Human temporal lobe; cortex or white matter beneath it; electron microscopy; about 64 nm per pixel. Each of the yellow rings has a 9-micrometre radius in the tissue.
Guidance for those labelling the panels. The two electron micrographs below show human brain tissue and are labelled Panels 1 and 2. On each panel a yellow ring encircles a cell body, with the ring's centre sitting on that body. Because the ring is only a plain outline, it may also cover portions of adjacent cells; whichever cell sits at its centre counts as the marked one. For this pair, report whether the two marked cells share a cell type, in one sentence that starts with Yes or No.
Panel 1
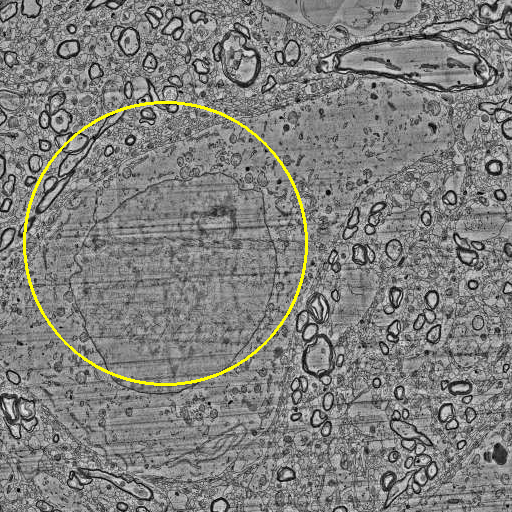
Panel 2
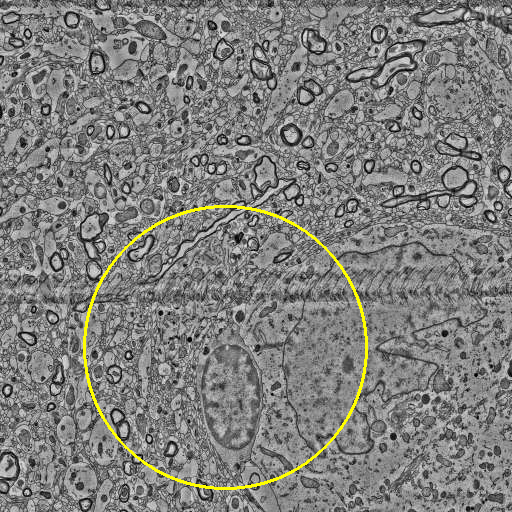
No, in Panel 1 and Panel 2 the marked cells at the ring centres are of two types.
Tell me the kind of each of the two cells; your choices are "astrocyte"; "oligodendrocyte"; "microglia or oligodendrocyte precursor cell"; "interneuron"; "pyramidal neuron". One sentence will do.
The ringed cell is a pyramidal neuron in the first picture and an oligodendrocyte in the second picture.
